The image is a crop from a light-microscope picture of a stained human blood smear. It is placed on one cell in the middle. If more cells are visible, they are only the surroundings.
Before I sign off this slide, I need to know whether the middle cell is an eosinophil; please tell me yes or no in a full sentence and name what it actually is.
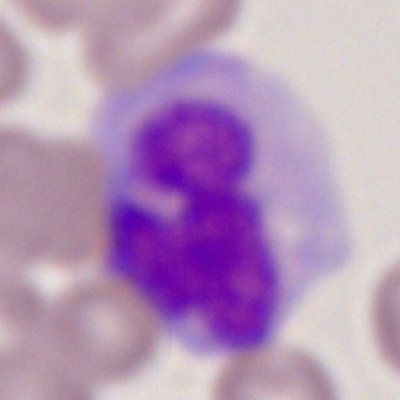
No, the cell at the centre of the crop is a monocyte and not an eosinophil.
